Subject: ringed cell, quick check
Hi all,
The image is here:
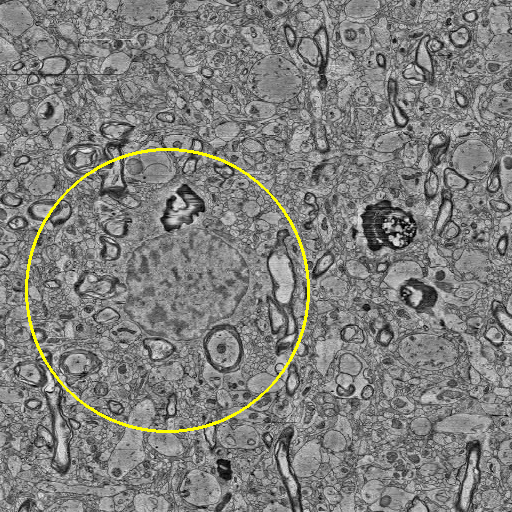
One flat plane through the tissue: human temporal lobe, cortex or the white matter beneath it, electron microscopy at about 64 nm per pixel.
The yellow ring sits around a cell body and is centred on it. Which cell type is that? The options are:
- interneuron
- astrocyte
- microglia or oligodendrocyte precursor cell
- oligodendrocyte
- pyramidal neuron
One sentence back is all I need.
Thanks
That ringed cell is an oligodendrocyte.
